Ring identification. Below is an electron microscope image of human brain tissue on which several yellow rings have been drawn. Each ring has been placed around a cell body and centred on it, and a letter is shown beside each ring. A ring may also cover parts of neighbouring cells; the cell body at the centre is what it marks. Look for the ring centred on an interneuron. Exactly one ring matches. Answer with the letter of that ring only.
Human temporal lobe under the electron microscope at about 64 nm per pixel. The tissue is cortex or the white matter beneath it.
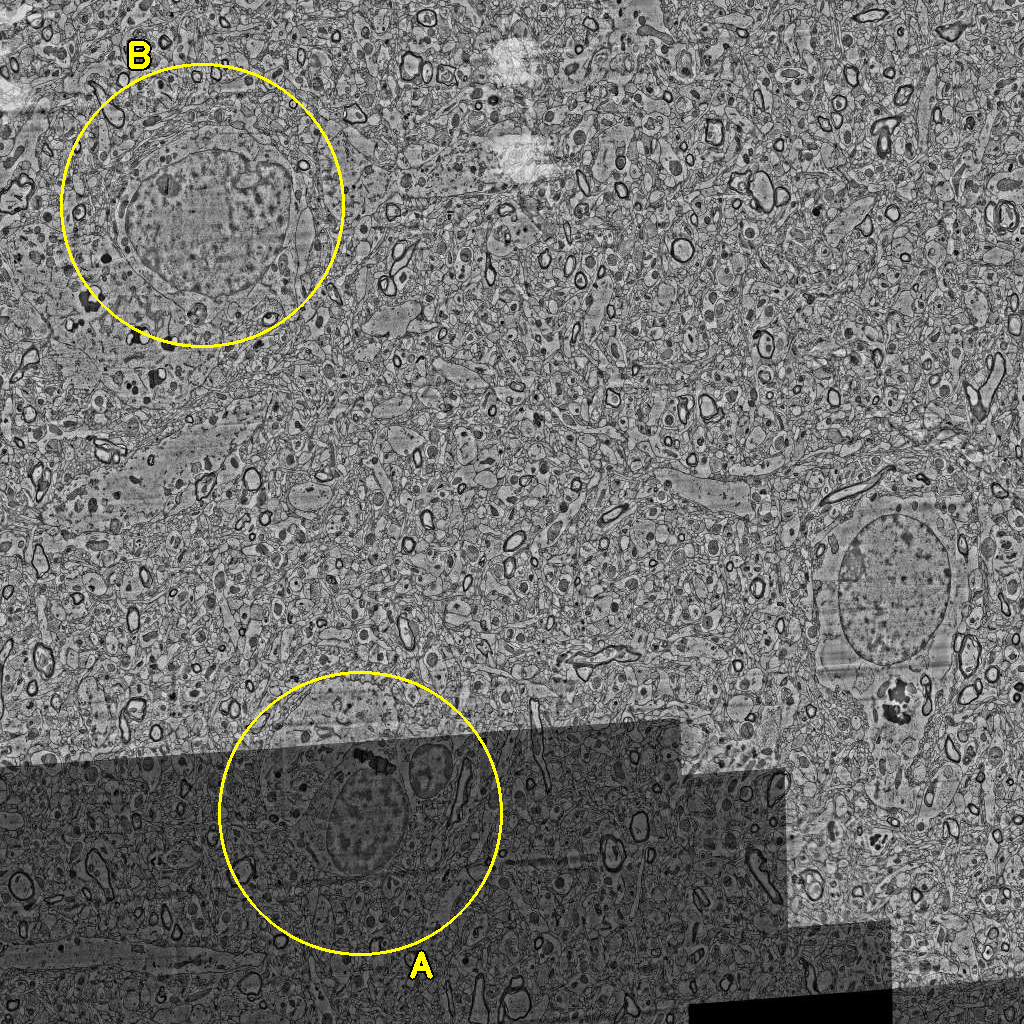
B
